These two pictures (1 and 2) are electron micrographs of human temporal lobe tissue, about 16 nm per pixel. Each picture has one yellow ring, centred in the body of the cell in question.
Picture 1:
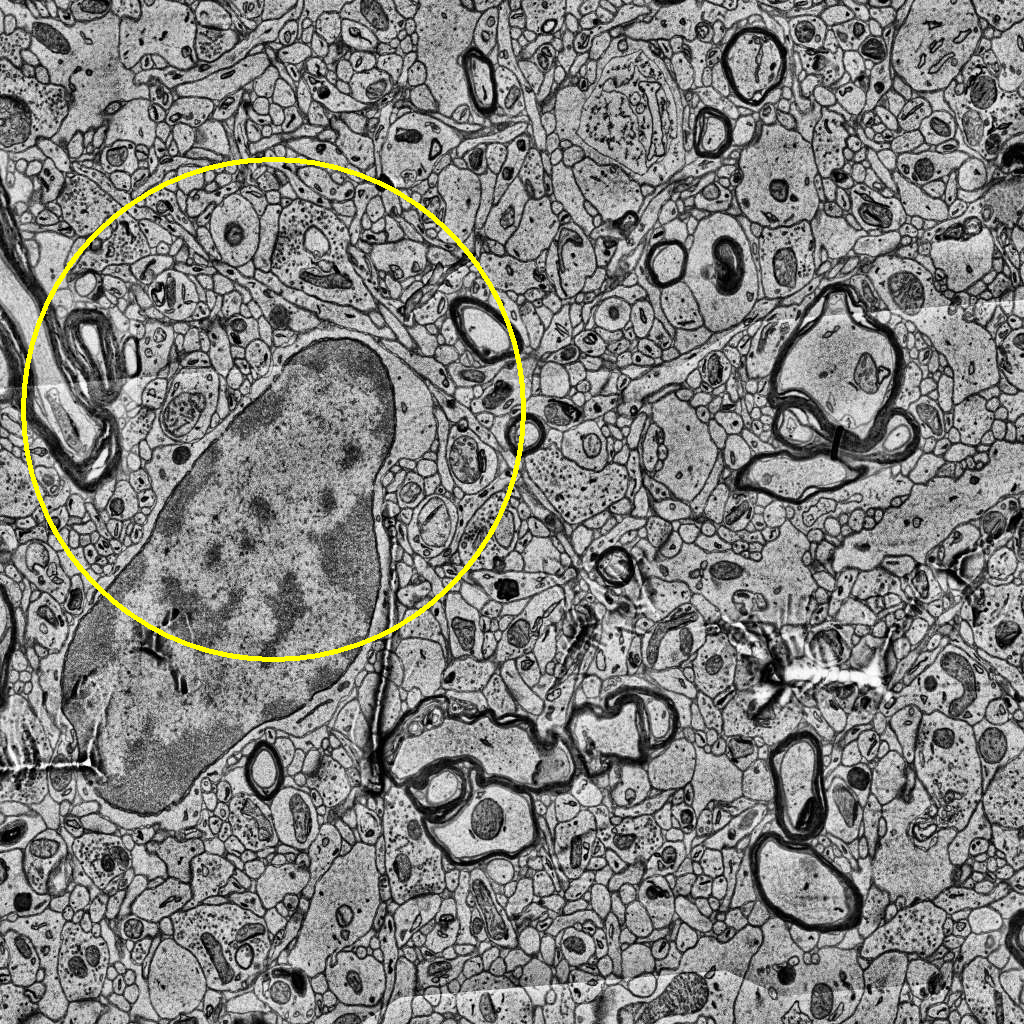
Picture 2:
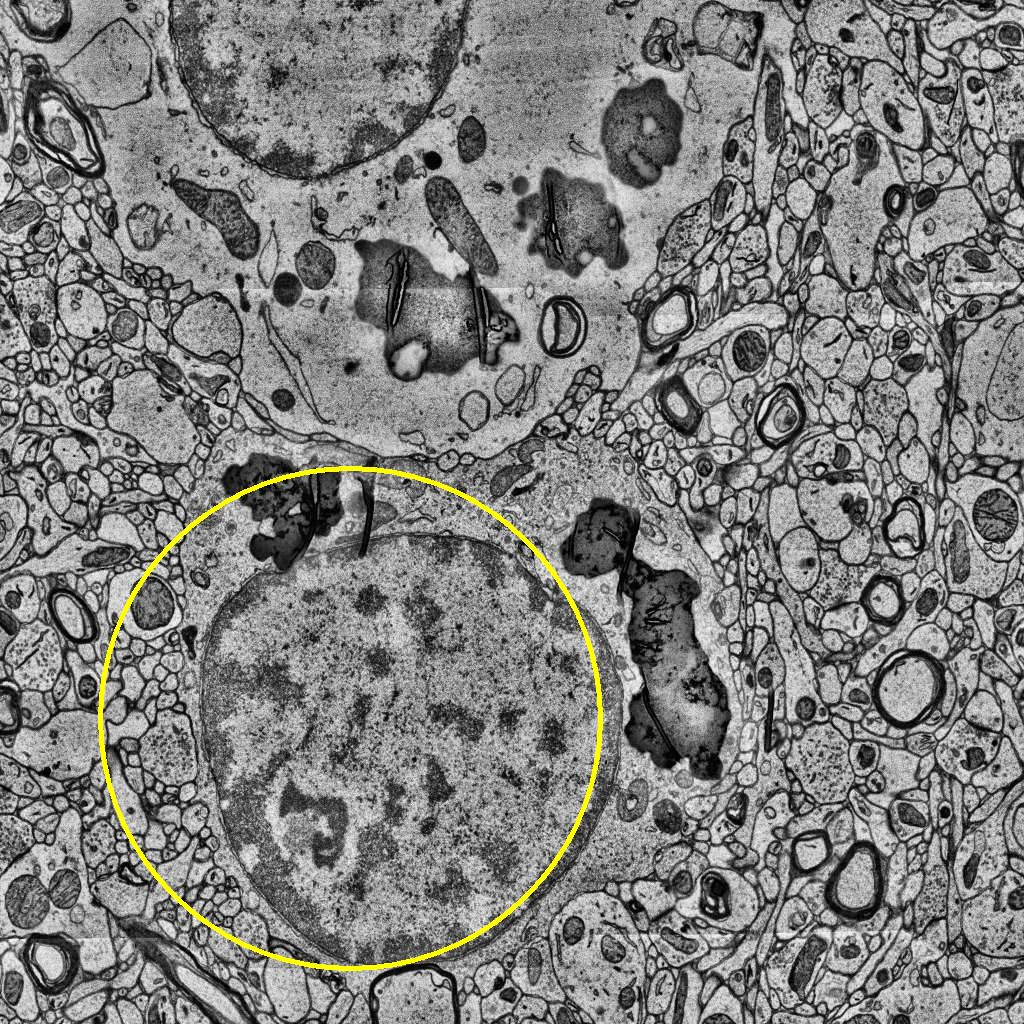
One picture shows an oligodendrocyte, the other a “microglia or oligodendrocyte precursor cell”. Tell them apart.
The cell in picture 1 is a “microglia or oligodendrocyte precursor cell”, and the one in picture 2 is an oligodendrocyte.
